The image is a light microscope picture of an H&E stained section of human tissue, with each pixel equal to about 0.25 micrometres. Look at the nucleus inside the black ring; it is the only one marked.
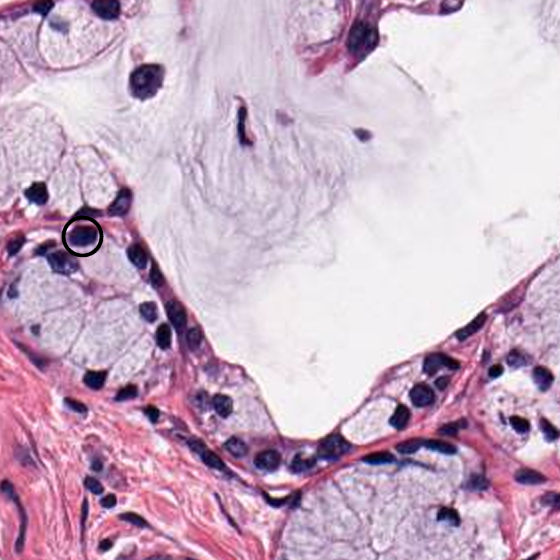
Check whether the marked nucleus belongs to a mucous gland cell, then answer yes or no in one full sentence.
Yes, the cell to which the marked nucleus belongs is a mucous gland cell.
